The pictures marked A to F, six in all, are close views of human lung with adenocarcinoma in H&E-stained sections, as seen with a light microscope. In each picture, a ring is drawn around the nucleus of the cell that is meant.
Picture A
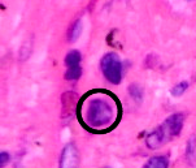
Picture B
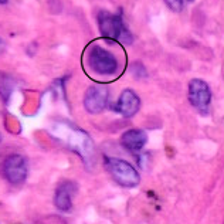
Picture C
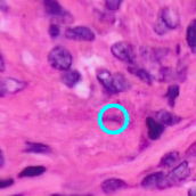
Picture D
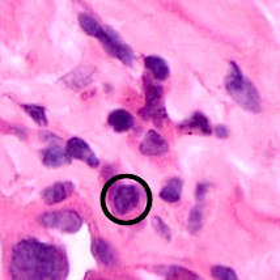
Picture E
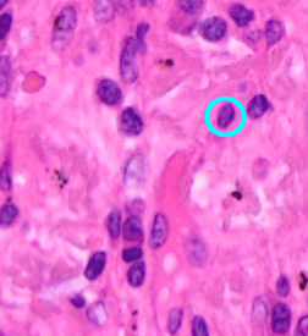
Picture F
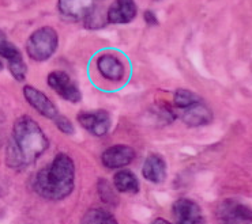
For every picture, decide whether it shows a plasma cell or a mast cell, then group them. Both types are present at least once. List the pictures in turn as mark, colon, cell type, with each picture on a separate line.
A: plasma cell
B: plasma cell
C: plasma cell
D: plasma cell
E: mast cell
F: mast cell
